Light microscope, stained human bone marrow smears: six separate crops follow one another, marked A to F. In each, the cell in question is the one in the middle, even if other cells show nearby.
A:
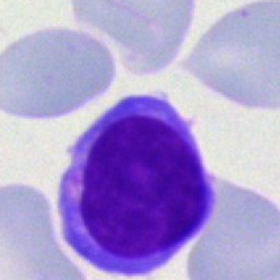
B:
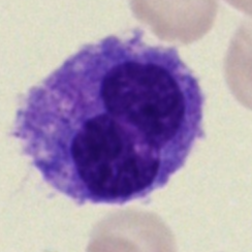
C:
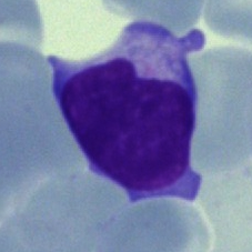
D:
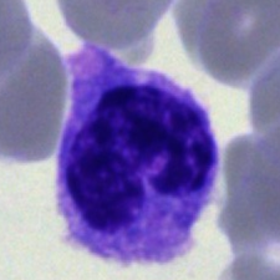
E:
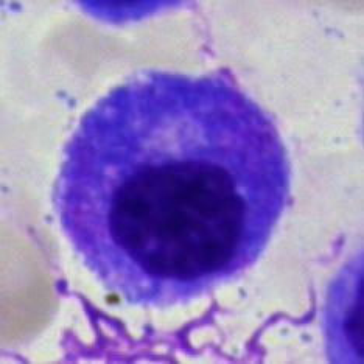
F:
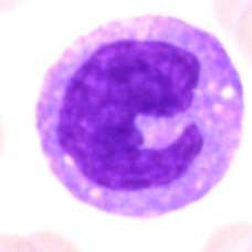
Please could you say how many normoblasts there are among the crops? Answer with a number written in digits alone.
0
